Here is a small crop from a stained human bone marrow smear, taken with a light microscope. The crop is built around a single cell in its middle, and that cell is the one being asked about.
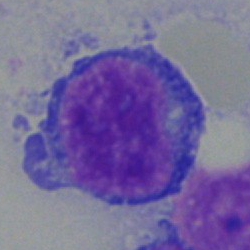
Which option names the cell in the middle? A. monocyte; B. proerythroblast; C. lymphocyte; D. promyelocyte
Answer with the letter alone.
B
